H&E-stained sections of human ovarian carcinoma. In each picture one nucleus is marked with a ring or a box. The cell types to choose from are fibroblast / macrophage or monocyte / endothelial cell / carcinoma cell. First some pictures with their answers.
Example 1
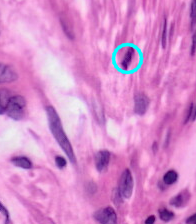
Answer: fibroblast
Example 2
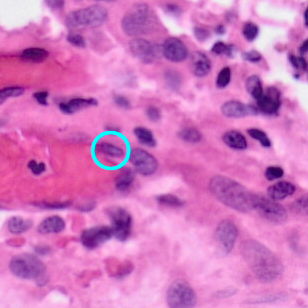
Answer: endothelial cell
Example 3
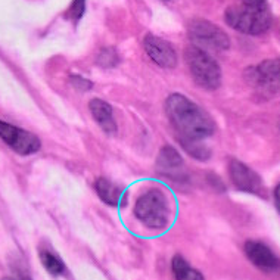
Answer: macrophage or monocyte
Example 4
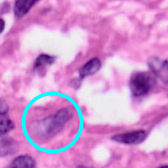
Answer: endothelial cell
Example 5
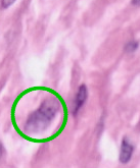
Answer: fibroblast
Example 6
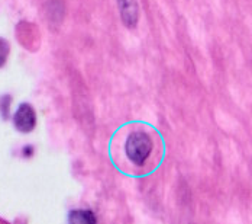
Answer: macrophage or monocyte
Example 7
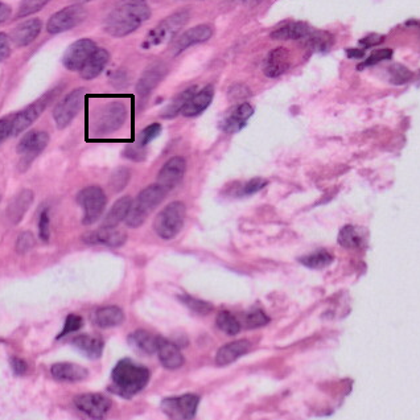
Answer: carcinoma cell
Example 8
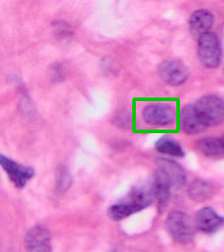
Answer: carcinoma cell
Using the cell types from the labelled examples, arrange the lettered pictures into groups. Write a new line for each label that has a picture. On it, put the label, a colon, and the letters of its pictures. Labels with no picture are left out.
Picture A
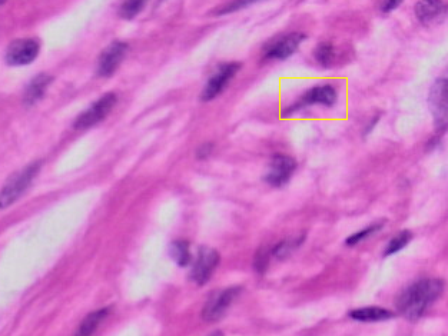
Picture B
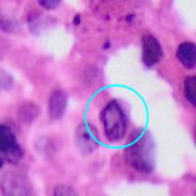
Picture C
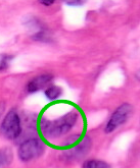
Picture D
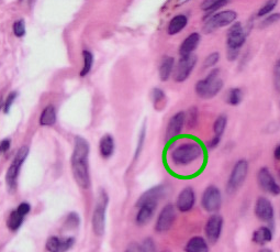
fibroblast: A
macrophage or monocyte: B
endothelial cell: D
carcinoma cell: C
